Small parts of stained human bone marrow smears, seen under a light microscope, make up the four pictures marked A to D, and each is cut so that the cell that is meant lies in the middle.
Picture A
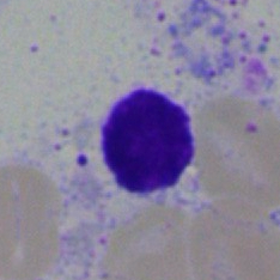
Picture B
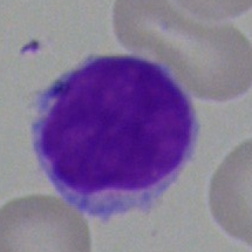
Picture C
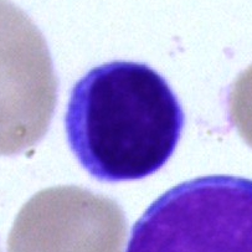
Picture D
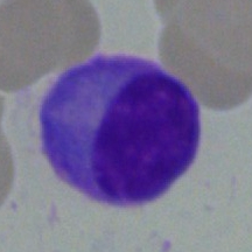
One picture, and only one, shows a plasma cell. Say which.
D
